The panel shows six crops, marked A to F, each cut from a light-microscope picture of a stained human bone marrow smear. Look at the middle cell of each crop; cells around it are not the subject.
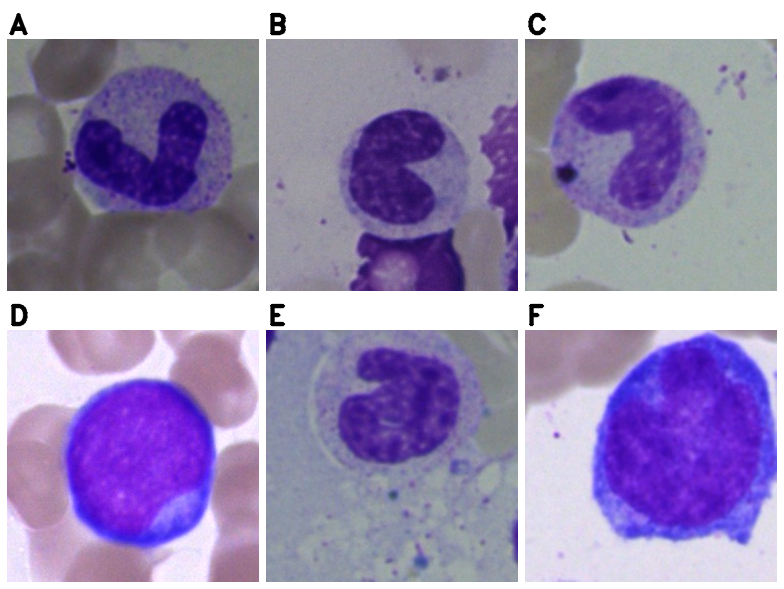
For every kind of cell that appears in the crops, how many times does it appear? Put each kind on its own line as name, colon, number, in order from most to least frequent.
band neutrophil: 4
blast: 2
